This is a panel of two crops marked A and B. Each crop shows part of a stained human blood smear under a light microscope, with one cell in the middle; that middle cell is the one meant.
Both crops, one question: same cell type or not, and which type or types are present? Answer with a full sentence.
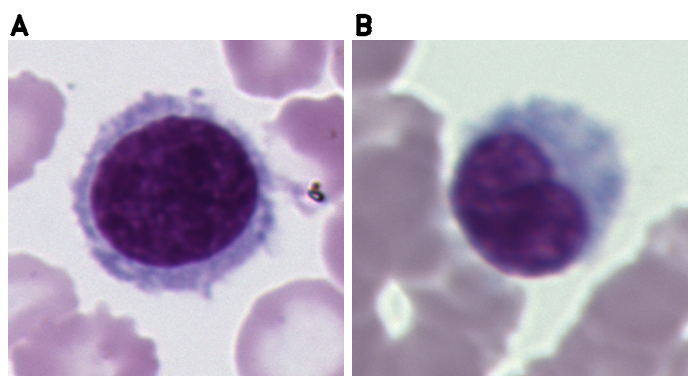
Yes, hairy cells are the cells in the middle of both crops.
